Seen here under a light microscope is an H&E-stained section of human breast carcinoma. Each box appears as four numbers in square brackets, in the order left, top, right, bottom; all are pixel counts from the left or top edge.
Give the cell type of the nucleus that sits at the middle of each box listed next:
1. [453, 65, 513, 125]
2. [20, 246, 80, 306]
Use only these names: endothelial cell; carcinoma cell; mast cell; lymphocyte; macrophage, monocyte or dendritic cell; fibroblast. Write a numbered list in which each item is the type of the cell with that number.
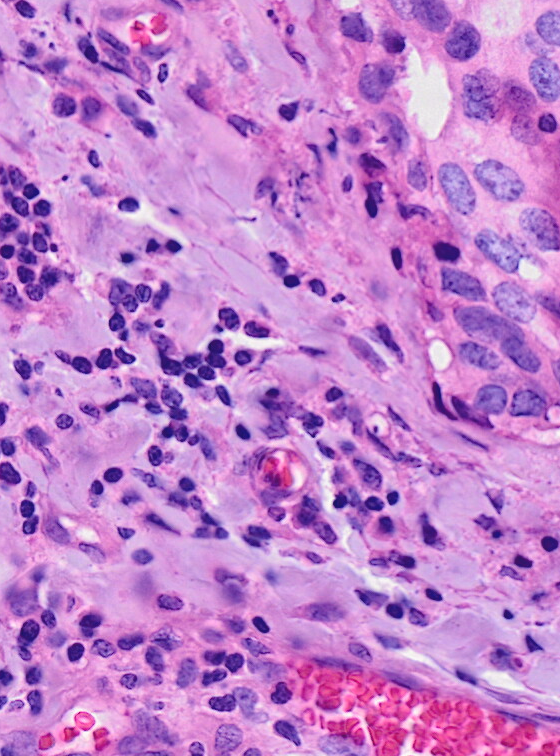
1. carcinoma cell
2. lymphocyte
